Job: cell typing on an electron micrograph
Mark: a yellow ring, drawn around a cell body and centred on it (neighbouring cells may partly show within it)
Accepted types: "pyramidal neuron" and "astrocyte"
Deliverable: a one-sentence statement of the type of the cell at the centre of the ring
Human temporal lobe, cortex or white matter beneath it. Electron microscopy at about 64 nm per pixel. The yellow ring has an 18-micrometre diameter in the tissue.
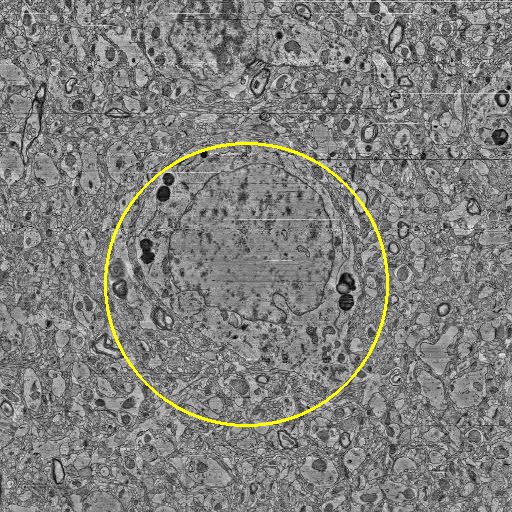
The centred cell body is that of a pyramidal neuron.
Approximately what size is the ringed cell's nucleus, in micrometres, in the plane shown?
Roughly 11 micrometres across for the nucleus, in this plane.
